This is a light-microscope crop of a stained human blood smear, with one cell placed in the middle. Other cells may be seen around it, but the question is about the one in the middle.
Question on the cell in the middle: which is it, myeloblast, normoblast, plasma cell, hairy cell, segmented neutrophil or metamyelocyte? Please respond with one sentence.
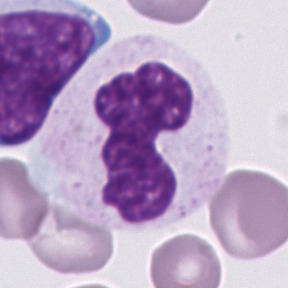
The central cell in this smear crop is a segmented neutrophil.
